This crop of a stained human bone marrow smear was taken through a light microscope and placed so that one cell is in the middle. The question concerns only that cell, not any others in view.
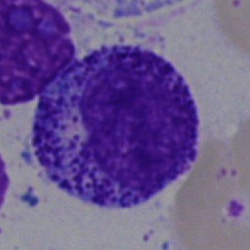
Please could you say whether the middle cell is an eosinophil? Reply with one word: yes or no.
no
